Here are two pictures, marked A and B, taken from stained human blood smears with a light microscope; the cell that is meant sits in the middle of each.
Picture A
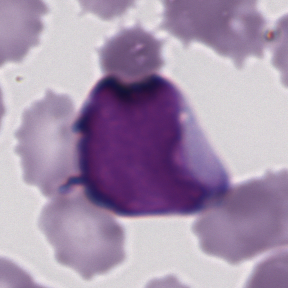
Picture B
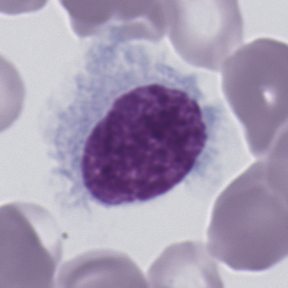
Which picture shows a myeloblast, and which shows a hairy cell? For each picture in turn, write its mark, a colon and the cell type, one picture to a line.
A: myeloblast
B: hairy cell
